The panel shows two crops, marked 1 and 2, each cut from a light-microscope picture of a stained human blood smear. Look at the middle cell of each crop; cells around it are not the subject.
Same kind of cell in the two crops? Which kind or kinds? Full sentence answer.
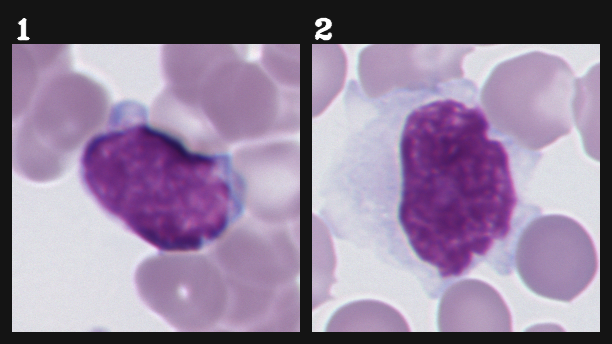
No, the cell that crop 1 shows is a large granular lymphocyte, and the one crop 2 shows is a hairy cell.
